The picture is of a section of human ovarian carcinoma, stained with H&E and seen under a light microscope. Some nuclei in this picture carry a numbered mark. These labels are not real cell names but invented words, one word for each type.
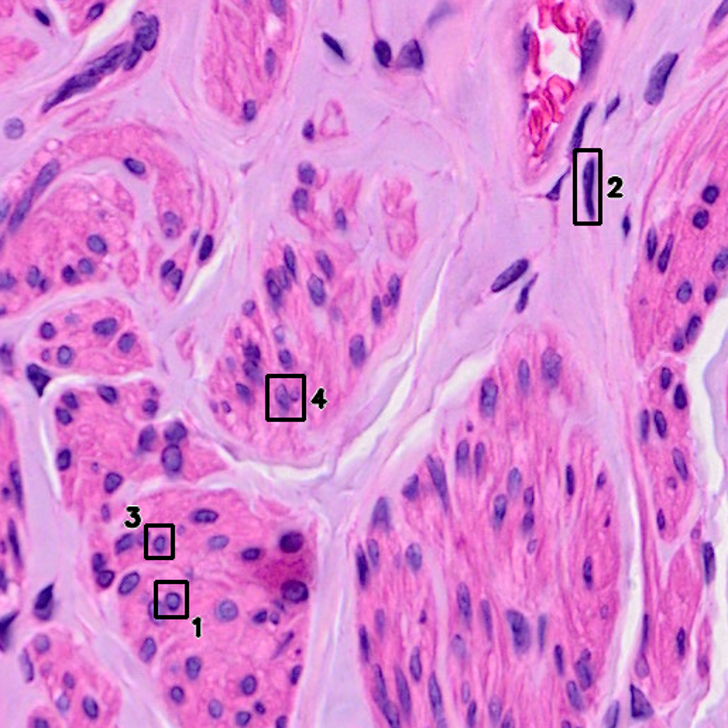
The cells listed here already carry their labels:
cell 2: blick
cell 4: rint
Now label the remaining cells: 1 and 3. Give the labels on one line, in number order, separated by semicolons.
rint; rint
